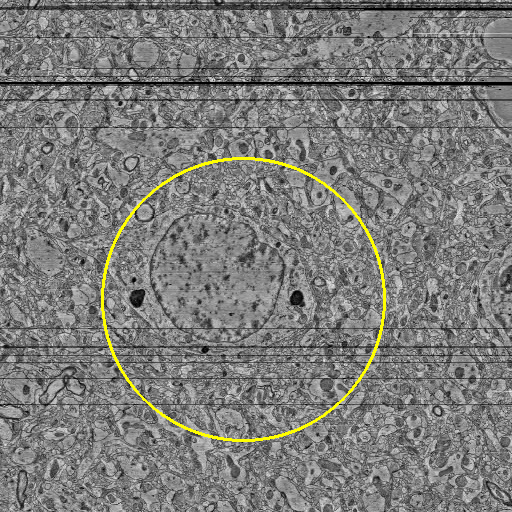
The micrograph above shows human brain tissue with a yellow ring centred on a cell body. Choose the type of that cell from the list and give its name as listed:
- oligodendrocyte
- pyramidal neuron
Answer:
pyramidal neuron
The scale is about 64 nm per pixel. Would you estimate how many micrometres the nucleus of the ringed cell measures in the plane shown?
About 9 micrometers across, in this plane.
